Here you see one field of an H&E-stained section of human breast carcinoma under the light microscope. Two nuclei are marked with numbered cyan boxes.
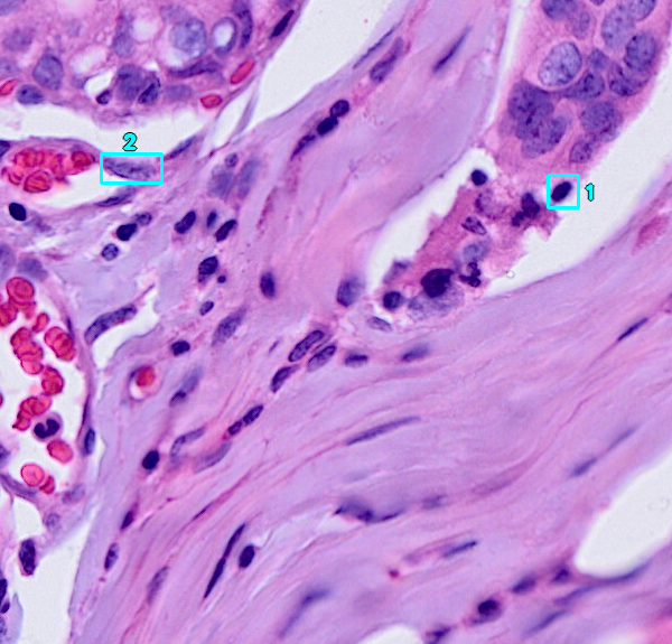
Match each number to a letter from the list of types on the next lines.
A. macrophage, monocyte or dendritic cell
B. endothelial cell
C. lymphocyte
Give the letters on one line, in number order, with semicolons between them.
C; B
